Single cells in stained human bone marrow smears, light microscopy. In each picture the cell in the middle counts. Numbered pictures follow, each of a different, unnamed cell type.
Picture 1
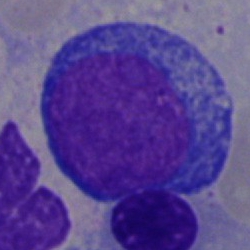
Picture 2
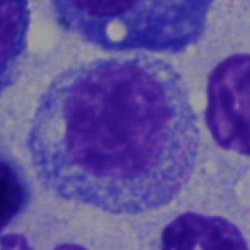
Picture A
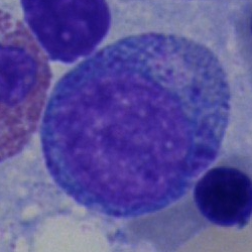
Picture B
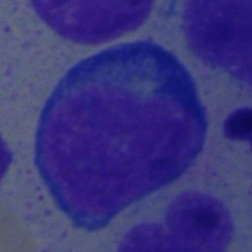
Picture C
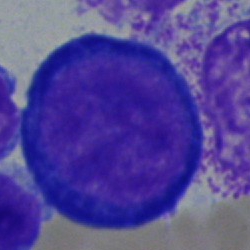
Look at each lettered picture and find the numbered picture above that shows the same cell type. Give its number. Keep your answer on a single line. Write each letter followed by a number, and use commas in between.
A 2, B 1, C 1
